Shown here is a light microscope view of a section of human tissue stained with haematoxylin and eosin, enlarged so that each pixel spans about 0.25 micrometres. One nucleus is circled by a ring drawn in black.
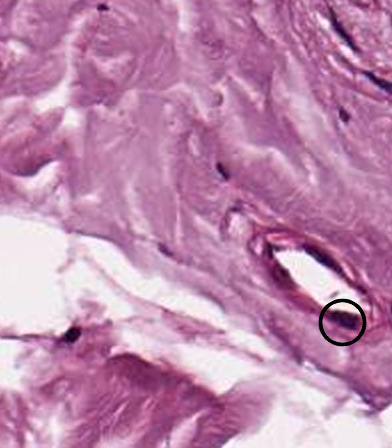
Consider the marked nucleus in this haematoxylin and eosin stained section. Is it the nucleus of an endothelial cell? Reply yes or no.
yes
